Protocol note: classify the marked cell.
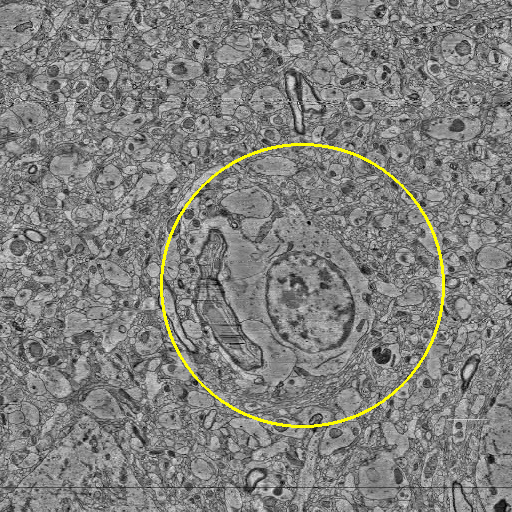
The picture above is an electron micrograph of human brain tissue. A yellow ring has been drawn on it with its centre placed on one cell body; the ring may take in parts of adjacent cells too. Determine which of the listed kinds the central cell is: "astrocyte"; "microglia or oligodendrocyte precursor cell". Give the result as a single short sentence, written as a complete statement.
The central cell is a microglial cell or oligodendrocyte precursor cell.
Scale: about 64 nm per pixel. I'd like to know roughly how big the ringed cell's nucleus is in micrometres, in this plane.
Approximately 7 by 5 micrometers in this plane.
